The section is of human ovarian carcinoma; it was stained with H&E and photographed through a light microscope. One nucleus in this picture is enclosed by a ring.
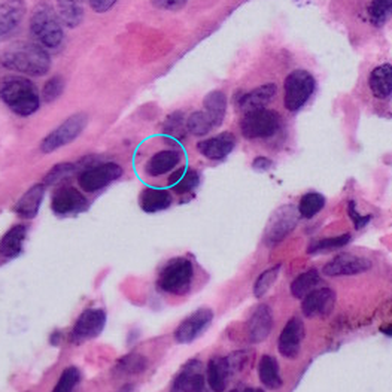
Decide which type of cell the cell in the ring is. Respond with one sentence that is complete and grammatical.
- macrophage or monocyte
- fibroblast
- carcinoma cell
Speaking plainly, the cell in the ring is nothing other than a carcinoma cell.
